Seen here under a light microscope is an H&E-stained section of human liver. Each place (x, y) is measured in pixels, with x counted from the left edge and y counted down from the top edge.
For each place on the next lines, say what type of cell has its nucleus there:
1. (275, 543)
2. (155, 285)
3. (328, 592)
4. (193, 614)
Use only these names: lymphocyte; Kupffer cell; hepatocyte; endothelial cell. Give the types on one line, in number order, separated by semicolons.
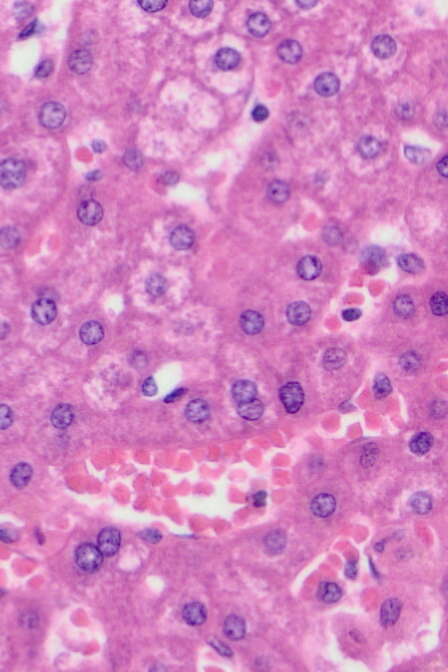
hepatocyte; hepatocyte; Kupffer cell; hepatocyte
